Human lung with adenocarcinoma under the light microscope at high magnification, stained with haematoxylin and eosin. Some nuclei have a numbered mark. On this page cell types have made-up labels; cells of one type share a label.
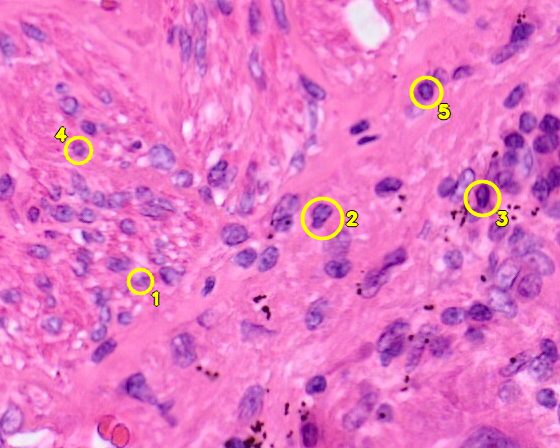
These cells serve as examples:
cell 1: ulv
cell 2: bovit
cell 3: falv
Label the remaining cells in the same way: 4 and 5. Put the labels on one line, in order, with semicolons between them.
ulv; bovit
